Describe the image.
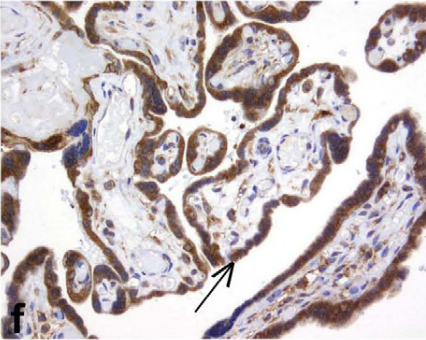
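Placental villi of varied size, each with a loose pale core of stroma and vessels, are covered on the surface by a thin continuous layer of trophoblasts stained dark brown. The stromal cells inside the villi are much paler, with blue nuclei.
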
